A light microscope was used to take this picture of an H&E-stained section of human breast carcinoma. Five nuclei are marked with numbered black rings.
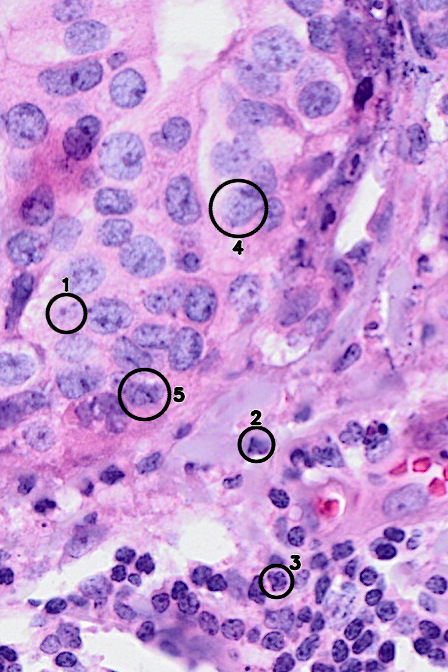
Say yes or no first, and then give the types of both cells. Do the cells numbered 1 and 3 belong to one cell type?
No, cell 1 is a carcinoma cell and cell 3 is a lymphocyte.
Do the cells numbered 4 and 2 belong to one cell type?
No, cell 4 is a carcinoma cell and cell 2 is a lymphocyte.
